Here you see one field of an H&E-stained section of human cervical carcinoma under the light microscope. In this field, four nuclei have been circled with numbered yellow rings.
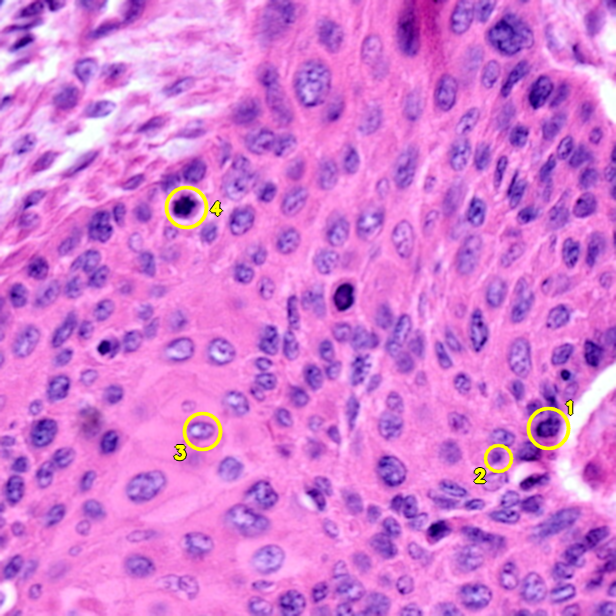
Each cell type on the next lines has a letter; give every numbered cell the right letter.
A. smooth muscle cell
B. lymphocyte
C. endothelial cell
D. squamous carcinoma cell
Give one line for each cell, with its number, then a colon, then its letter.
1: D
2: D
3: D
4: B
